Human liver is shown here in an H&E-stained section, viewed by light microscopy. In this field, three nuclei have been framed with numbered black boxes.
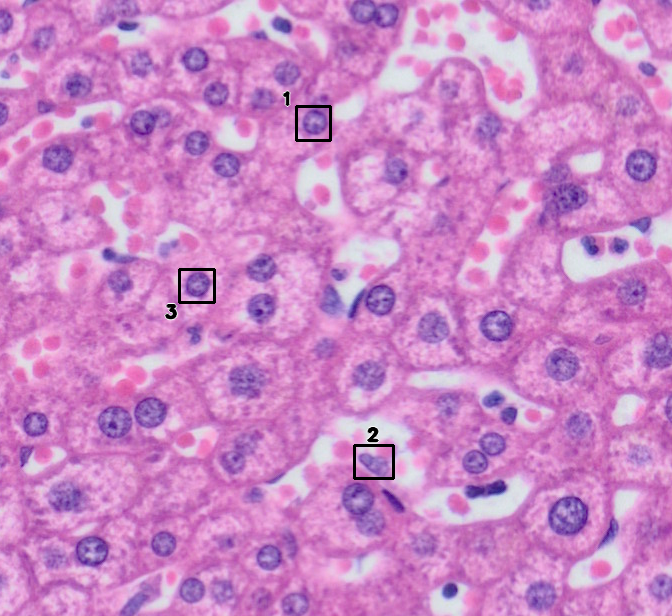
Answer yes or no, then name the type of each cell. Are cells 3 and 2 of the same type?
No, what is marked as cell 3 is a hepatocyte, and what is marked as cell 2 is a Kupffer cell.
